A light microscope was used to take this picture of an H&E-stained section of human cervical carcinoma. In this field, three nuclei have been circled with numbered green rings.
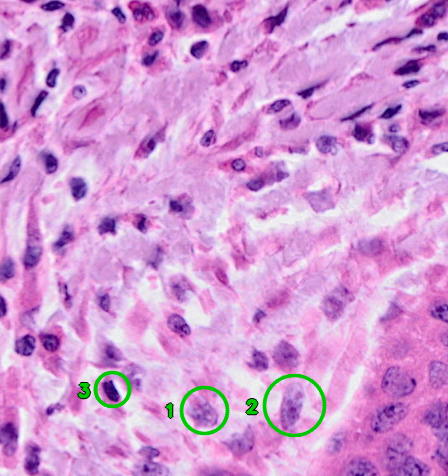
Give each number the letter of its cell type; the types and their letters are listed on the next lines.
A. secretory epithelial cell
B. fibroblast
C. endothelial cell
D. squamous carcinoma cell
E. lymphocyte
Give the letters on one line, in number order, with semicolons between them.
B; B; E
